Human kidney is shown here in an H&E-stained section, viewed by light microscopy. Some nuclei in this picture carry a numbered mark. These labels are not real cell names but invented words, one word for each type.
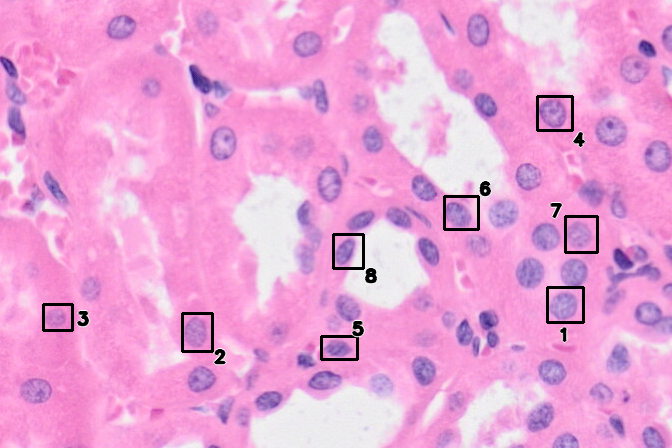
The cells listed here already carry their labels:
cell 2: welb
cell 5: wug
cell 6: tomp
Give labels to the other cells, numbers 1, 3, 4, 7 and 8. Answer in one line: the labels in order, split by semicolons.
tomp; welb; welb; tomp; tomp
